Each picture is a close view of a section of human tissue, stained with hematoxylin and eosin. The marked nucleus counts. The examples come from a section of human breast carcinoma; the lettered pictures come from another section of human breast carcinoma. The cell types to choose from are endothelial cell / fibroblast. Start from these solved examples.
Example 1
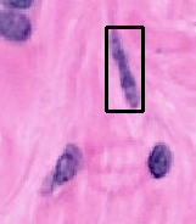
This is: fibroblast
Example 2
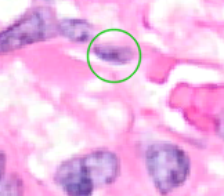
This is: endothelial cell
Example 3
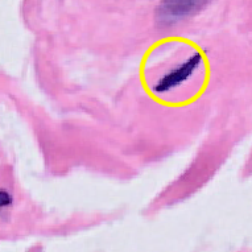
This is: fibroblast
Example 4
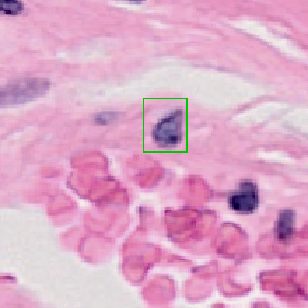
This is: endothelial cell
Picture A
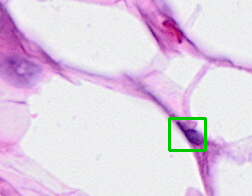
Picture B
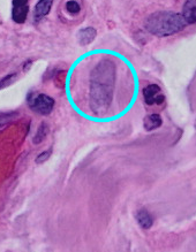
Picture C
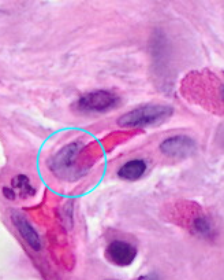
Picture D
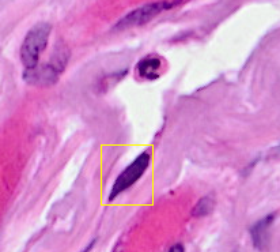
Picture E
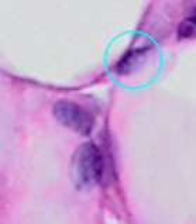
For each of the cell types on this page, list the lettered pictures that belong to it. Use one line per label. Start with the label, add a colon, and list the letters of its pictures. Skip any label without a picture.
endothelial cell: C
fibroblast: A, B, D, E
